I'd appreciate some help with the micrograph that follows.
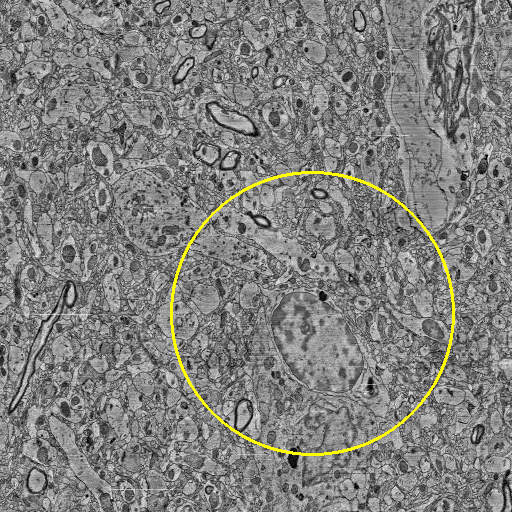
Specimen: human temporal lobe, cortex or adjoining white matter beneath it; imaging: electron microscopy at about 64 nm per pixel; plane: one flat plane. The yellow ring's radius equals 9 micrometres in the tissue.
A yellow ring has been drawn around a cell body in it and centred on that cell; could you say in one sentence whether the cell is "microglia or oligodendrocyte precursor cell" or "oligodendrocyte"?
It is a microglial cell or oligodendrocyte precursor cell at the centre of the ring.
